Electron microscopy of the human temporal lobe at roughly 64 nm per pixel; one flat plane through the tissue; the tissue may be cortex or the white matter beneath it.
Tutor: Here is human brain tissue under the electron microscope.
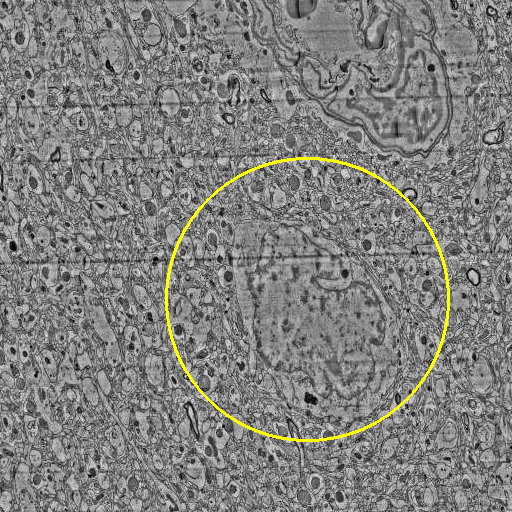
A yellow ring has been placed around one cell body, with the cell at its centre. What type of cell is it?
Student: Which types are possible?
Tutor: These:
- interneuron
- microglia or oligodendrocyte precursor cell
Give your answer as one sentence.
What the ring picks out here is an interneuron.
